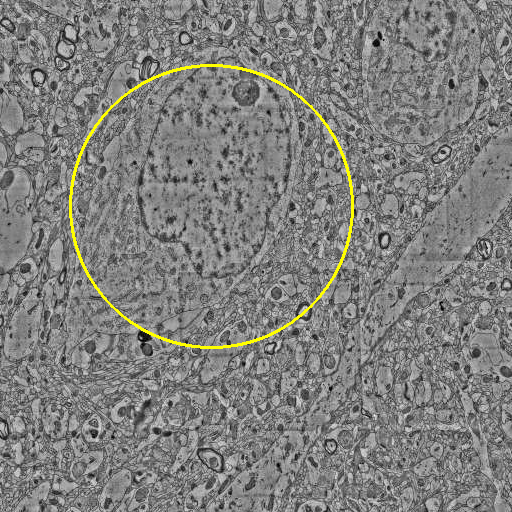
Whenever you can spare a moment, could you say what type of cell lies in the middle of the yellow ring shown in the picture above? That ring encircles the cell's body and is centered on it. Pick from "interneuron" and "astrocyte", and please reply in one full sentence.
The cell whose body sits at the middle of the yellow ring is an interneuron.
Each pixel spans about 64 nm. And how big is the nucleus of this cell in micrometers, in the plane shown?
About 14 by 9 micrometers for the nucleus, in this plane.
